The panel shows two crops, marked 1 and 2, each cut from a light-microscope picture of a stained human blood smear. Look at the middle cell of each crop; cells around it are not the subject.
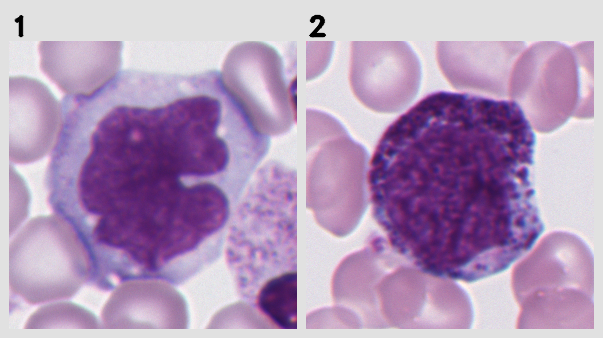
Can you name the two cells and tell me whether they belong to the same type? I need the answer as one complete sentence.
No, a monocyte is in crop 1, while a promyelocyte is in crop 2.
